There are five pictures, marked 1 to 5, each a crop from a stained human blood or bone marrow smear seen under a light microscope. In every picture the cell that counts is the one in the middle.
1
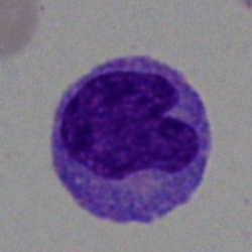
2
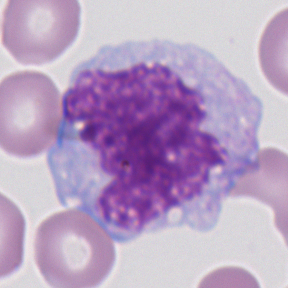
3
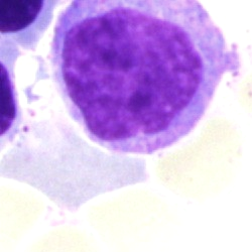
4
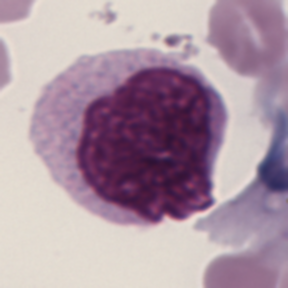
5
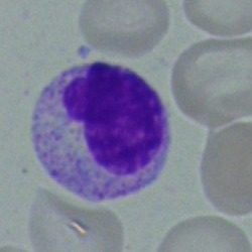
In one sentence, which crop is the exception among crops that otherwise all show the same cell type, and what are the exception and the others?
Among these crops, monocytes occur in all but crop 5, which contains a myelocyte.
